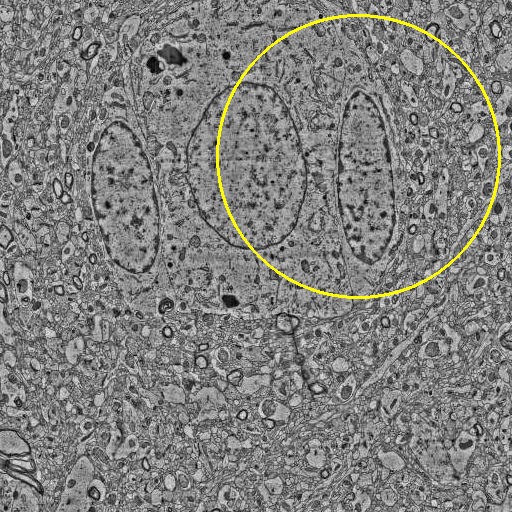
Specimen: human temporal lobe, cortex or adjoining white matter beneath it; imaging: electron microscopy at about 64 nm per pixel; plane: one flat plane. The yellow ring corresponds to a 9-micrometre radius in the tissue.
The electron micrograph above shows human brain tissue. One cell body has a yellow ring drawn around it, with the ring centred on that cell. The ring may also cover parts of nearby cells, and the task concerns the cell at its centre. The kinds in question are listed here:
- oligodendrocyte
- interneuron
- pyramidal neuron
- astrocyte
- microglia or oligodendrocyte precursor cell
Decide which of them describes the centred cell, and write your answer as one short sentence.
The centred cell is a microglial cell or oligodendrocyte precursor cell.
